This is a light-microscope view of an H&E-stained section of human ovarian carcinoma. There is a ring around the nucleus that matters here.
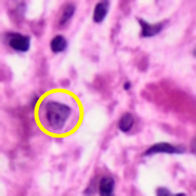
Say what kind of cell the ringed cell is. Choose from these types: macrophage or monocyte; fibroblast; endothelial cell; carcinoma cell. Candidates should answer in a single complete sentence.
In the stained section, the ringed cell is a macrophage or monocyte.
